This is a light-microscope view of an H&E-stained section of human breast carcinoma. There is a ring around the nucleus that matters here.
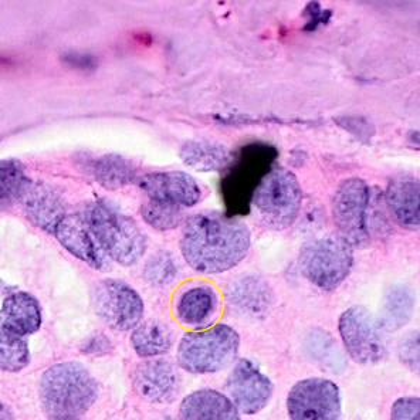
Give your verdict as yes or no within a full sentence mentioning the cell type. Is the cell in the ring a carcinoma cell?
Yes, classifying the cell in the ring as a carcinoma cell is accurate.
